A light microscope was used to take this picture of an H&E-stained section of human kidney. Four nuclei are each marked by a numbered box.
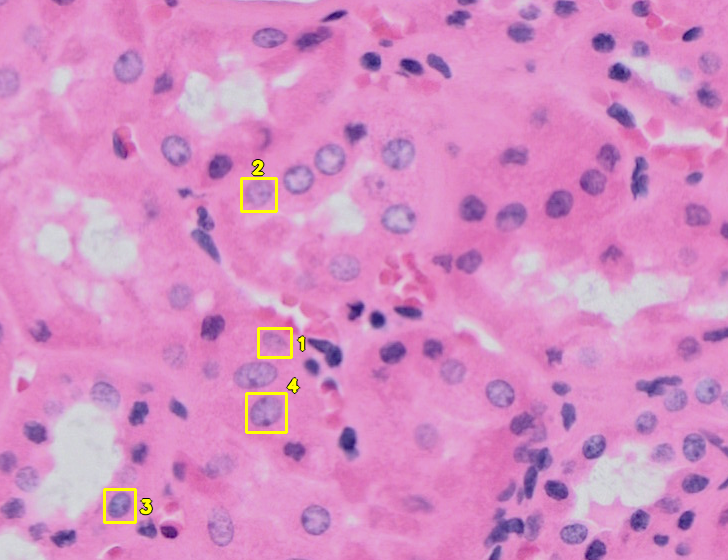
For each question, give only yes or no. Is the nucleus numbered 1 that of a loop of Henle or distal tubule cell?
no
